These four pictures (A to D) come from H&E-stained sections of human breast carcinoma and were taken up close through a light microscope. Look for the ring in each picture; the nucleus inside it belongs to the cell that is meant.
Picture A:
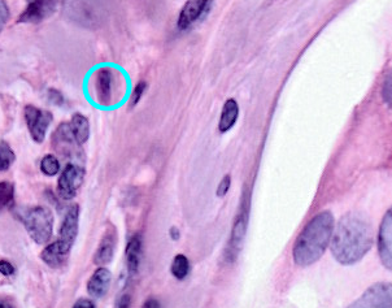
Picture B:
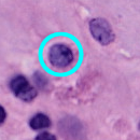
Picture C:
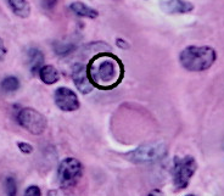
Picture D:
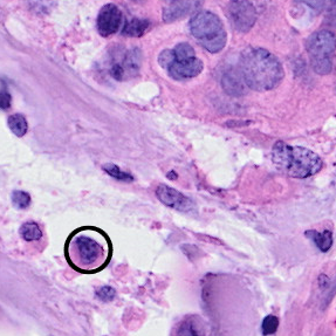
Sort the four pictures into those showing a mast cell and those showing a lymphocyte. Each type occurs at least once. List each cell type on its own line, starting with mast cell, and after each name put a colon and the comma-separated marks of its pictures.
mast cell: A, B, D
lymphocyte: C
